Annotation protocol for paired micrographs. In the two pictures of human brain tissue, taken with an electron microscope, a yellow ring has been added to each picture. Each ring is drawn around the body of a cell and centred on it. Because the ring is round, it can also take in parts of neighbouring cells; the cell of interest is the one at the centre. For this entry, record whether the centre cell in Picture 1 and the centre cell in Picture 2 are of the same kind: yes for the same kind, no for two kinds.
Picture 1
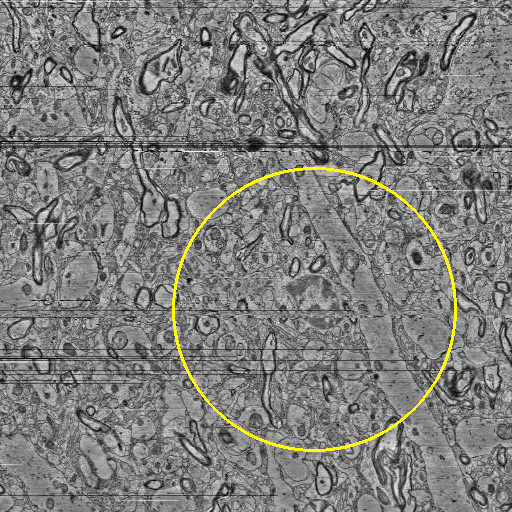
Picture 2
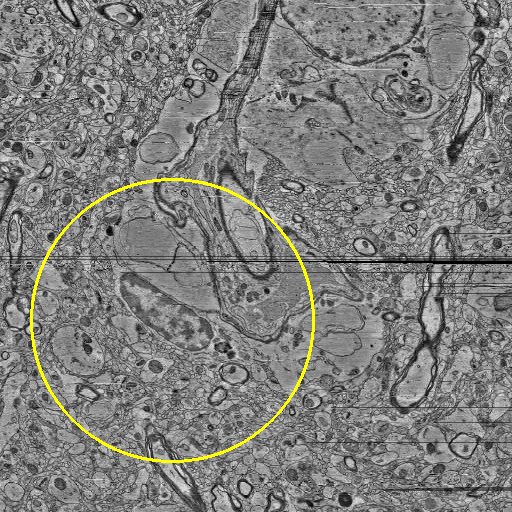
yes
